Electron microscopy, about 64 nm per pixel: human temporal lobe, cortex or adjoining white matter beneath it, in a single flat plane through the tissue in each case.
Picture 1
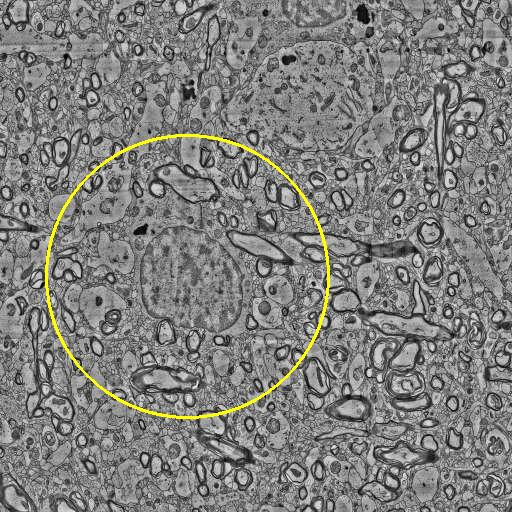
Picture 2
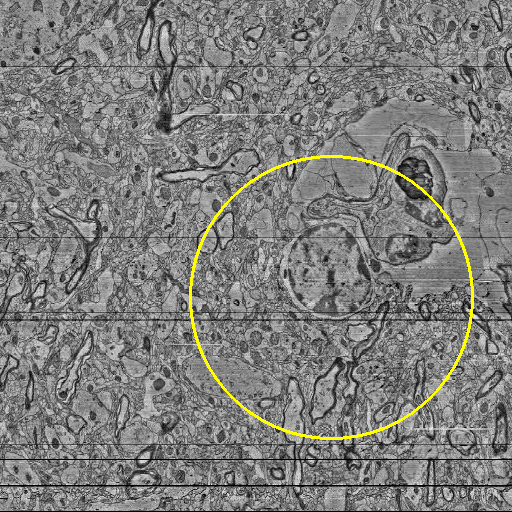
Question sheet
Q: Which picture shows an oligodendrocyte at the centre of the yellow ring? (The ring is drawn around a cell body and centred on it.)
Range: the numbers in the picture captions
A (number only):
1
